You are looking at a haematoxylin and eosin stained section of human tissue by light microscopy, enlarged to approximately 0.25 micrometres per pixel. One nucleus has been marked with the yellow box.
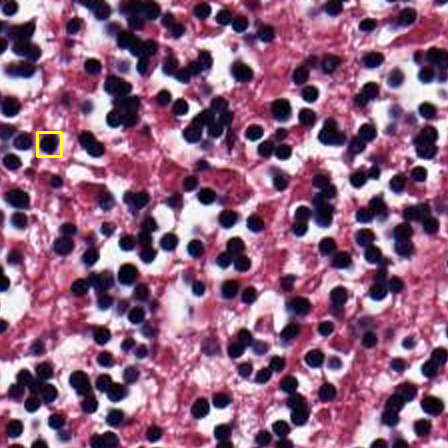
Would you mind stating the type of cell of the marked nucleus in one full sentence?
The marked nucleus is housed in a cerebellar granule cell.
